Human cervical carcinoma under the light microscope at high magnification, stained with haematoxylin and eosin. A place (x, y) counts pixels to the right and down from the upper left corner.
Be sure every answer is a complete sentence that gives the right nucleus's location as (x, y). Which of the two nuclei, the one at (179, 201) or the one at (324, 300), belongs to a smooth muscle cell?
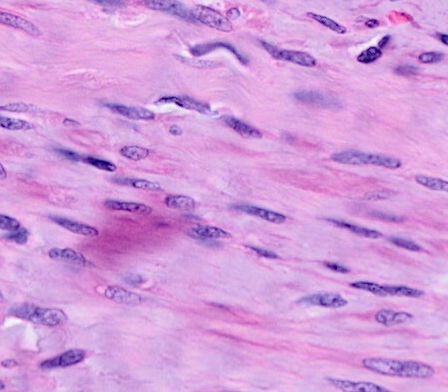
The one at (179, 201) is the nucleus belonging to a smooth muscle cell, not the other one.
